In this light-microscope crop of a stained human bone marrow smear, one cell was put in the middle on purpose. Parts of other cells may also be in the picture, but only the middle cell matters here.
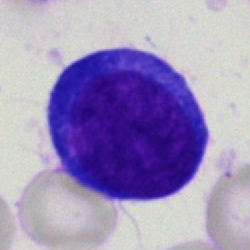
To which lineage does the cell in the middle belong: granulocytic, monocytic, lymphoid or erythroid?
erythroid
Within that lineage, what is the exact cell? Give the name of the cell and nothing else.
proerythroblast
